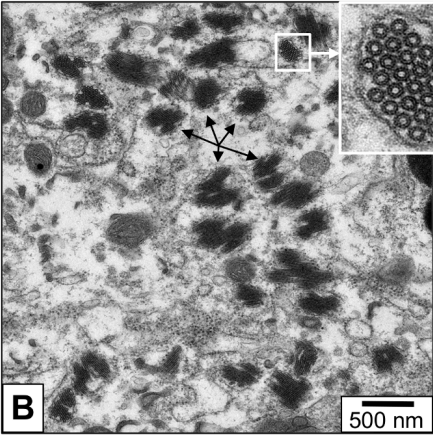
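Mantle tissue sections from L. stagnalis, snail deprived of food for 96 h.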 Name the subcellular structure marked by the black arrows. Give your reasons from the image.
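Small endomembrane compartments. Many small dark membrane-bounded bodies are scattered through the cytoplasm. Their contents look striated and regularly ordered. The inset shows a tightly packed lattice of ring-shaped profiles.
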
